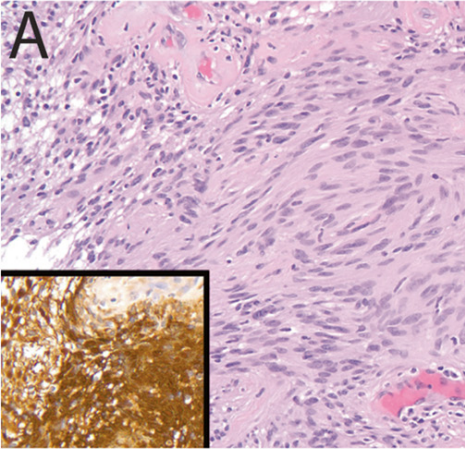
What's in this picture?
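Spindle-shaped cells with elongated, tapered, somewhat wavy nuclei run in sweeping fascicles through a pale pink fibrillary background, with a few thick-walled pink vessels containing red cells. In the corner the tumor cells stain diffusely brown. This is a benign nerve sheath tumor, a schwannoma.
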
